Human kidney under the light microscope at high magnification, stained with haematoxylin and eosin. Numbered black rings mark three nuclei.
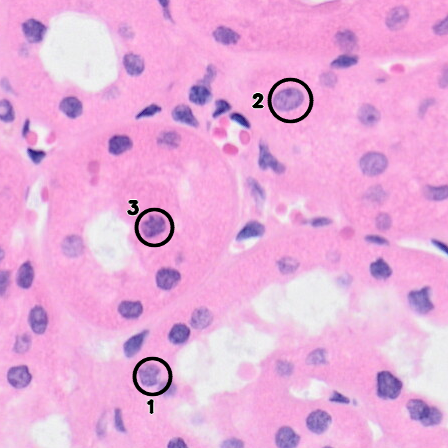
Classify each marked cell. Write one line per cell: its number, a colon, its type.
1: loop of Henle or distal tubule cell
2: proximal tubule cell
3: proximal tubule cell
